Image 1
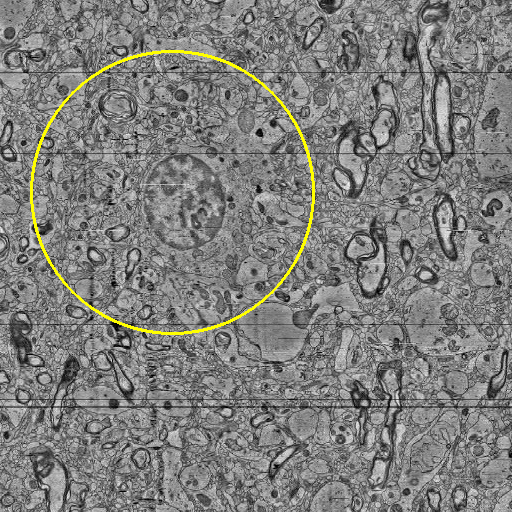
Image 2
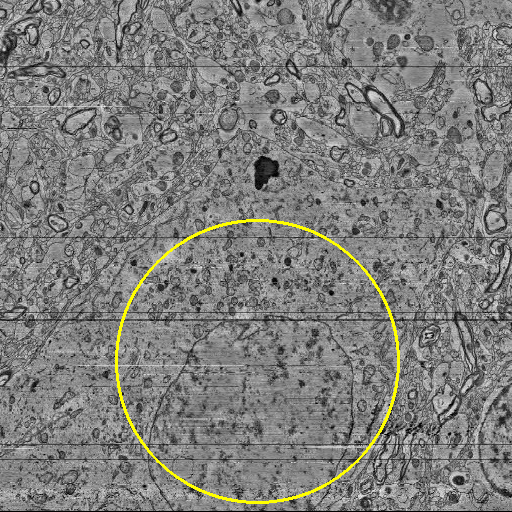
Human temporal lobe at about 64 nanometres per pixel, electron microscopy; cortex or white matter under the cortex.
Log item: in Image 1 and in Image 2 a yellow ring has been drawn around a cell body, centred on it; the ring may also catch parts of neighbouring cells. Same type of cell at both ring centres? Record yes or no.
no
